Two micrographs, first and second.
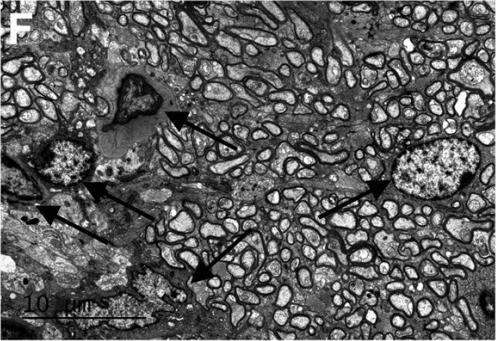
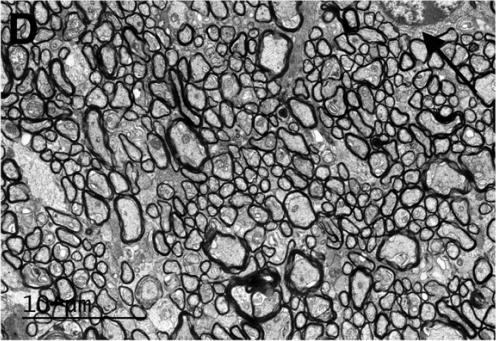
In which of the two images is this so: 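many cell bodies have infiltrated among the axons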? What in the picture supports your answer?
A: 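First image: several large cell bodies with nuclei lie scattered among the axons. Second image: closely packed myelinated axons with hardly any cell bodies between them.
Conclusion: the first image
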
